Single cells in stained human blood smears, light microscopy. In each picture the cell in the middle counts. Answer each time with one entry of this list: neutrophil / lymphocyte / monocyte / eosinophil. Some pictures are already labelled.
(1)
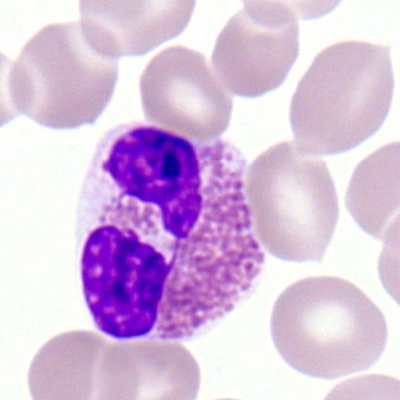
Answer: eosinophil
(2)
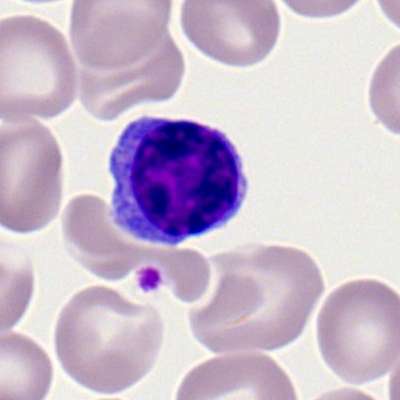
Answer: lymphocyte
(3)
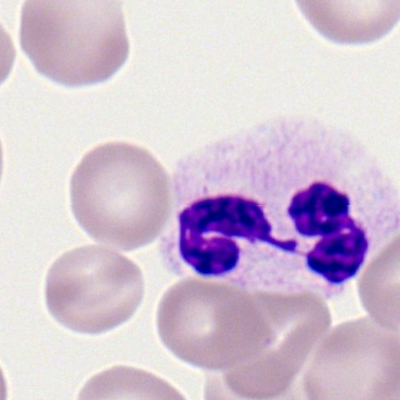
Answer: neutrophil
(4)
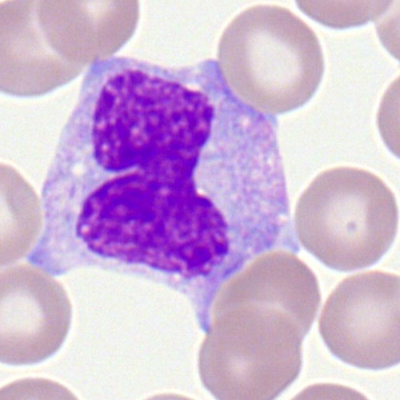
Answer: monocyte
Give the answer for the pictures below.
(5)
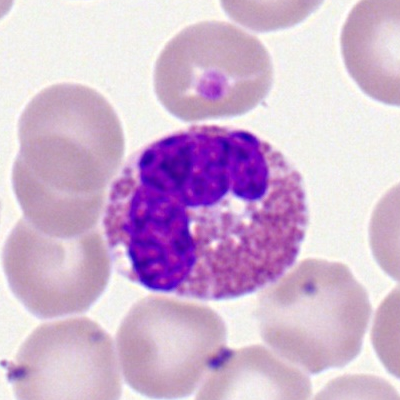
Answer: eosinophil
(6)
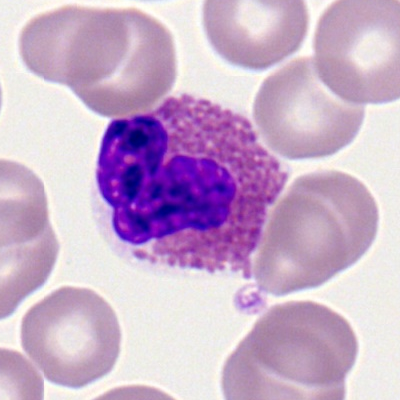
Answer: eosinophil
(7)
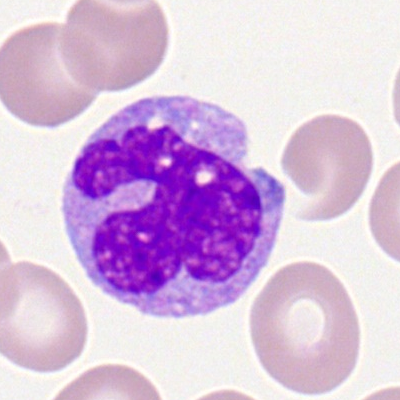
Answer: monocyte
